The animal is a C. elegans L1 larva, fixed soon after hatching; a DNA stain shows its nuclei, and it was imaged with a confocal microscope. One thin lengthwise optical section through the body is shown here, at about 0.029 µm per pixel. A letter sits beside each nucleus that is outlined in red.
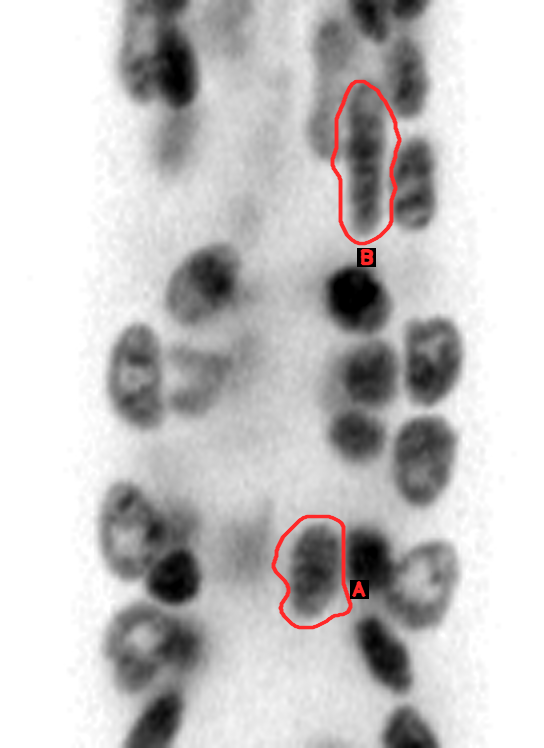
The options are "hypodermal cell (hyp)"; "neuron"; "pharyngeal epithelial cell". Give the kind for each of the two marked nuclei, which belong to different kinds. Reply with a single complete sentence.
One is from a neuron, namely A, and the other, B, is from a pharyngeal epithelial cell.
